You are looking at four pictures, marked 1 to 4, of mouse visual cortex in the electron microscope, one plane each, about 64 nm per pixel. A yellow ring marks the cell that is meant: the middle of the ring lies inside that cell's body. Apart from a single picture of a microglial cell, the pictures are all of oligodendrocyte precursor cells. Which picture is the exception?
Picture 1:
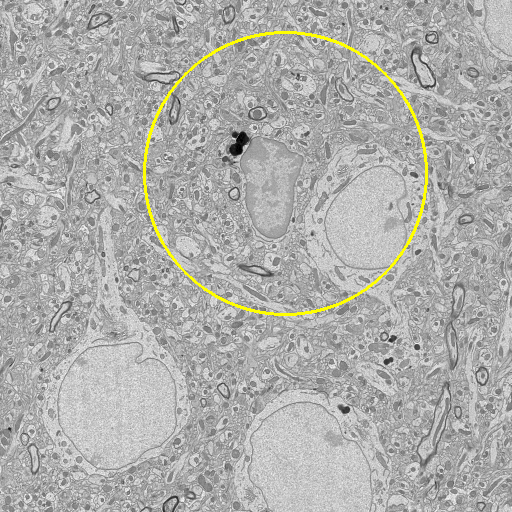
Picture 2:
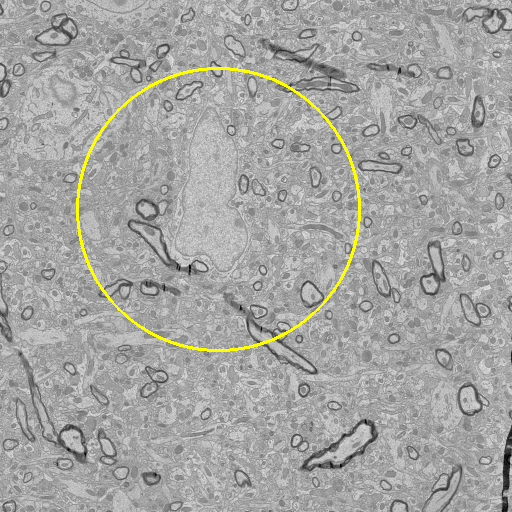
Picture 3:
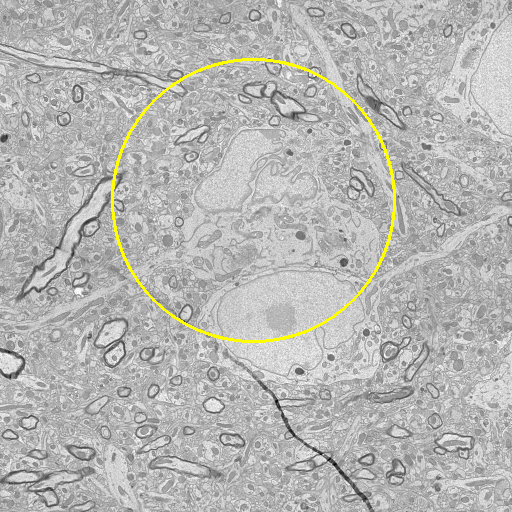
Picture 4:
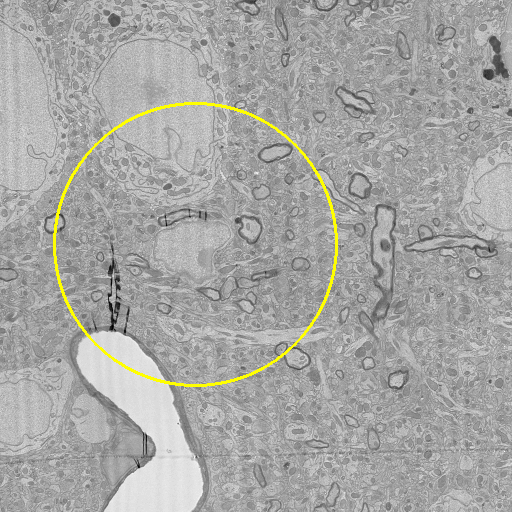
The cell in picture 1 is the microglial cell.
